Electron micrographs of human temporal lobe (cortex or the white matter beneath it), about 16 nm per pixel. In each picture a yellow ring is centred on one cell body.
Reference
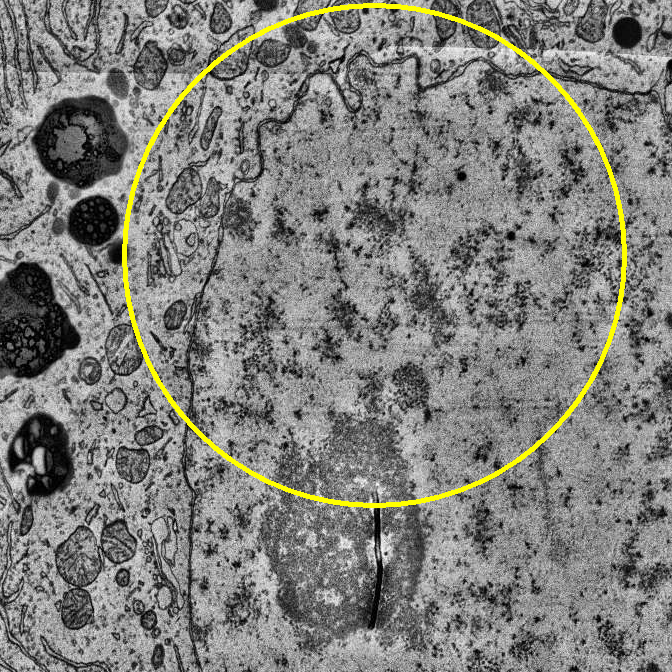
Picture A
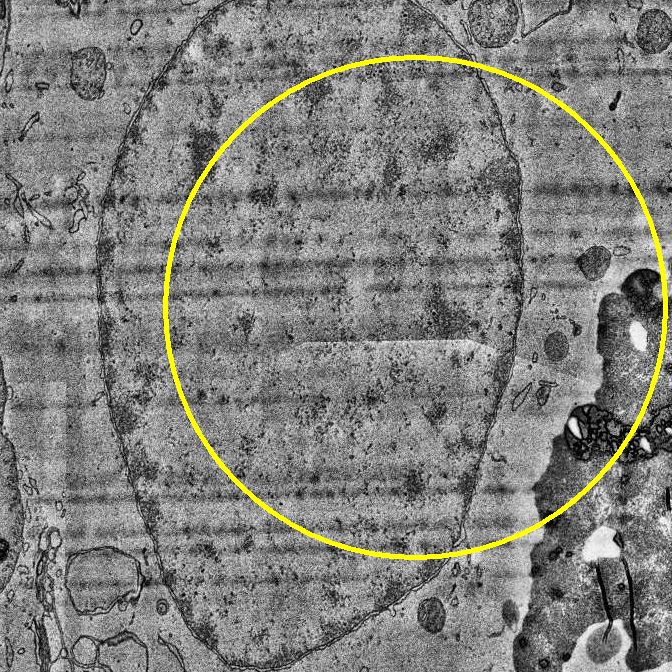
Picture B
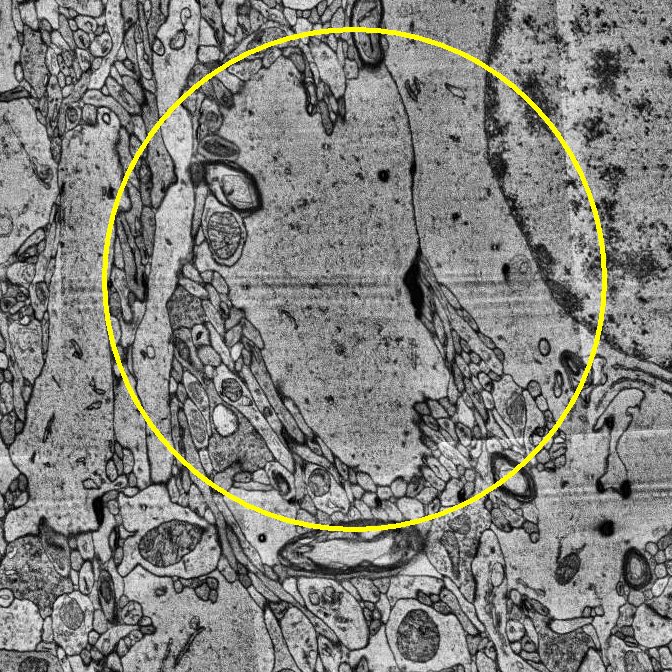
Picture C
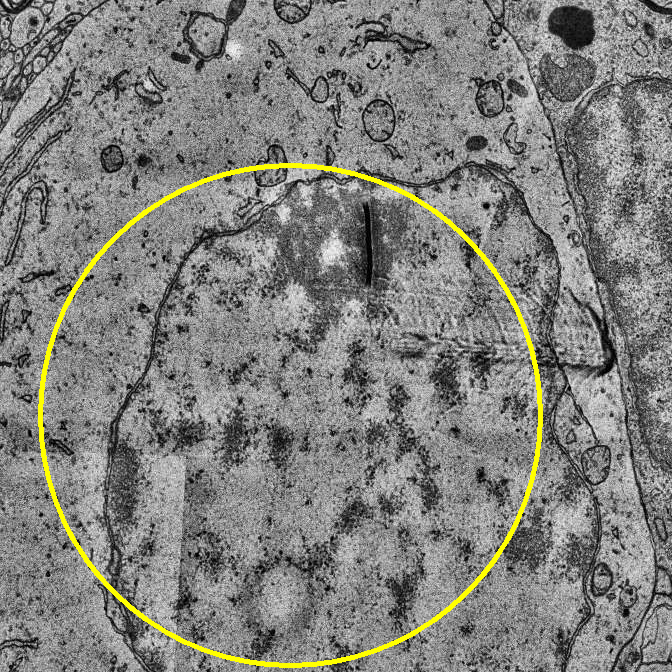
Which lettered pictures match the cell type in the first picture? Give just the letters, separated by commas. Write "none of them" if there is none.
C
